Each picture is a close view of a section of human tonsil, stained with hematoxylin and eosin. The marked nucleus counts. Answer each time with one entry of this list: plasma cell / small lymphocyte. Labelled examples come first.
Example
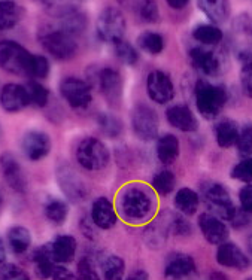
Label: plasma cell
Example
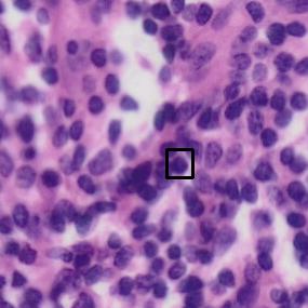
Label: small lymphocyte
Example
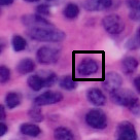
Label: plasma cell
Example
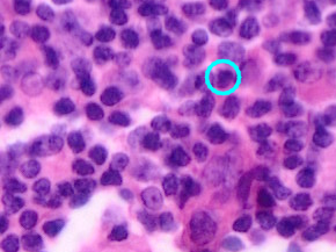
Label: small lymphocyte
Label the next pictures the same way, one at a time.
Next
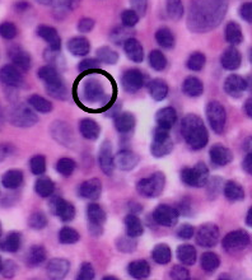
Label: small lymphocyte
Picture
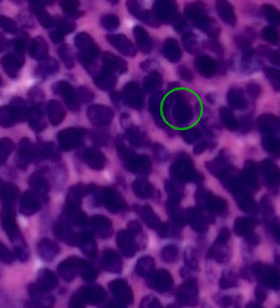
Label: small lymphocyte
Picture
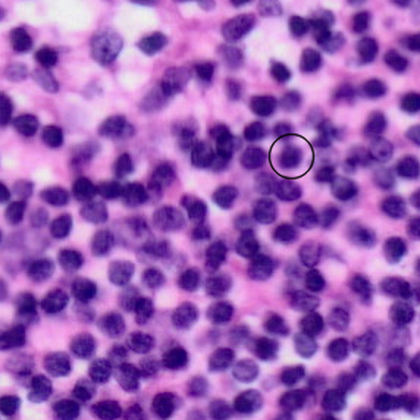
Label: small lymphocyte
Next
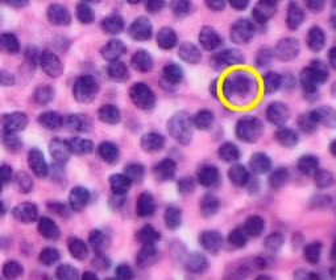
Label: small lymphocyte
